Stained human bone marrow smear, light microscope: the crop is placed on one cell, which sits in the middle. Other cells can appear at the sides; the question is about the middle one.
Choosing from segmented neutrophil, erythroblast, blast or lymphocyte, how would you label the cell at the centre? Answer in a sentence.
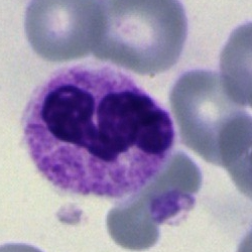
The cell in the exact centre of the crop is a segmented neutrophil.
